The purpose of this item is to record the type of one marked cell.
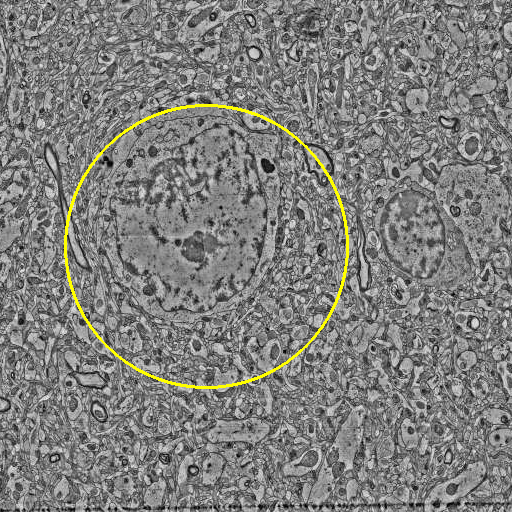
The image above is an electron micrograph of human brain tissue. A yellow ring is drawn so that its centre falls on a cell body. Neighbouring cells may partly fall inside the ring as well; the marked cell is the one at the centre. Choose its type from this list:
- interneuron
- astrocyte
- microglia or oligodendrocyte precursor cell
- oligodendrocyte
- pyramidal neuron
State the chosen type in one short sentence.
What the ring marks here is an interneuron.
